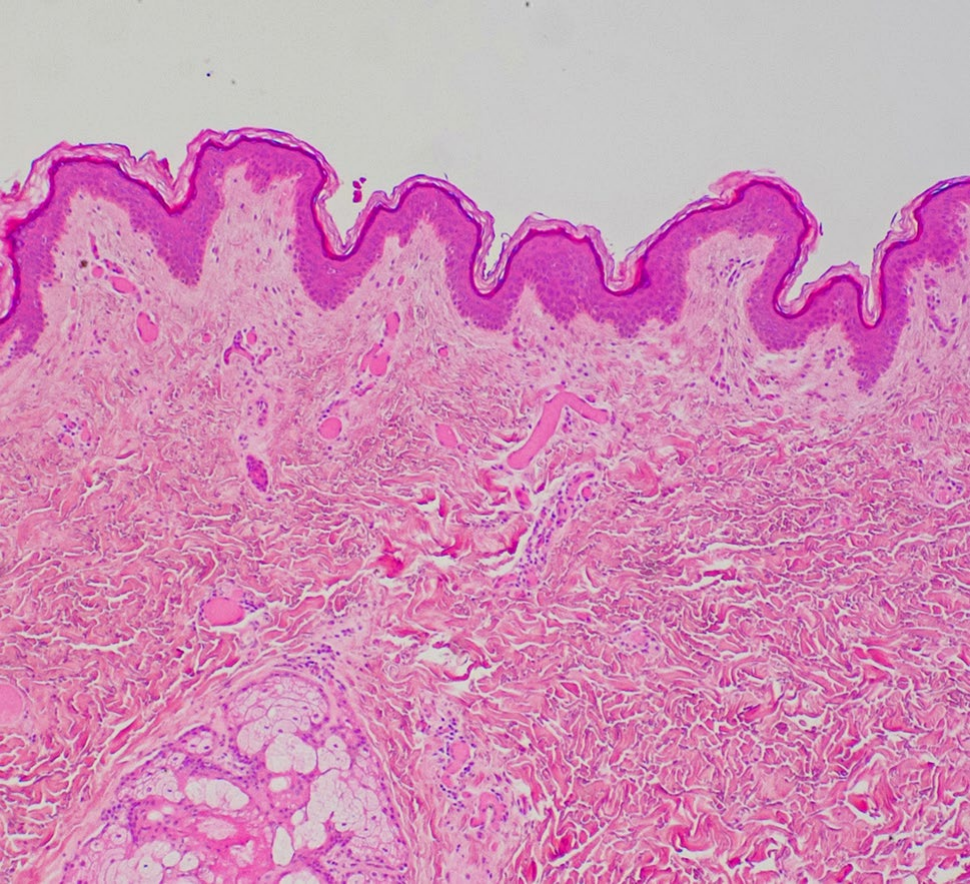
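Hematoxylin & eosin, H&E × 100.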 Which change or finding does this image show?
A: Subtle dermal capillary dilatation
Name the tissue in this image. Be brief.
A: Skin.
